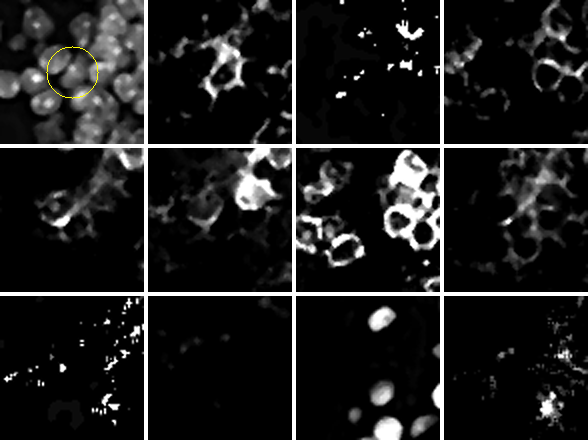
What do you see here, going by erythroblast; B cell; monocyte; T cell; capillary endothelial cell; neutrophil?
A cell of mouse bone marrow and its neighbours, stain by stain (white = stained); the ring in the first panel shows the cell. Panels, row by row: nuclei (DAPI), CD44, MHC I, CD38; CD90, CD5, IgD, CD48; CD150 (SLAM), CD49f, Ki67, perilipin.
I see a neutrophil.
